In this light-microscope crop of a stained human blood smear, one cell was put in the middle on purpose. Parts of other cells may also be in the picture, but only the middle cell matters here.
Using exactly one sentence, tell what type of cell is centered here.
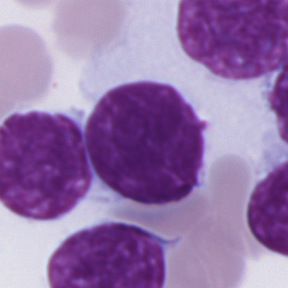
By type, the central cell of the crop is a myeloblast.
